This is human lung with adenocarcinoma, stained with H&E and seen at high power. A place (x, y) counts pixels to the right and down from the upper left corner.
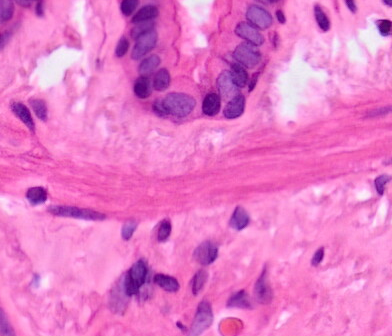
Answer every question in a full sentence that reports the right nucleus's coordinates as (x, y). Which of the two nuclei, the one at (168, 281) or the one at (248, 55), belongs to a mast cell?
The nucleus of a mast cell is the one found at (168, 281), not the other.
